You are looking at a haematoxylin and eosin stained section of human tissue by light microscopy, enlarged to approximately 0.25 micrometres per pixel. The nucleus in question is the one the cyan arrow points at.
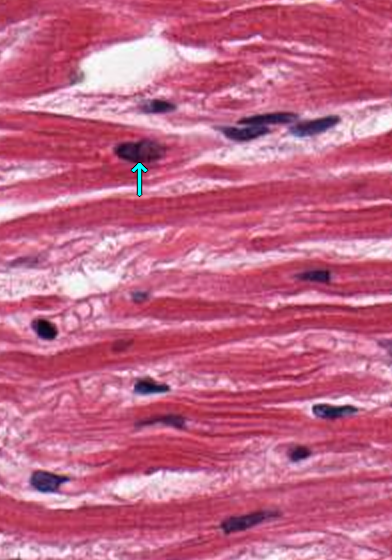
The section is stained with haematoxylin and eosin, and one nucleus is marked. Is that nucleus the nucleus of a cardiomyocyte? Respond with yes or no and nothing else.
yes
